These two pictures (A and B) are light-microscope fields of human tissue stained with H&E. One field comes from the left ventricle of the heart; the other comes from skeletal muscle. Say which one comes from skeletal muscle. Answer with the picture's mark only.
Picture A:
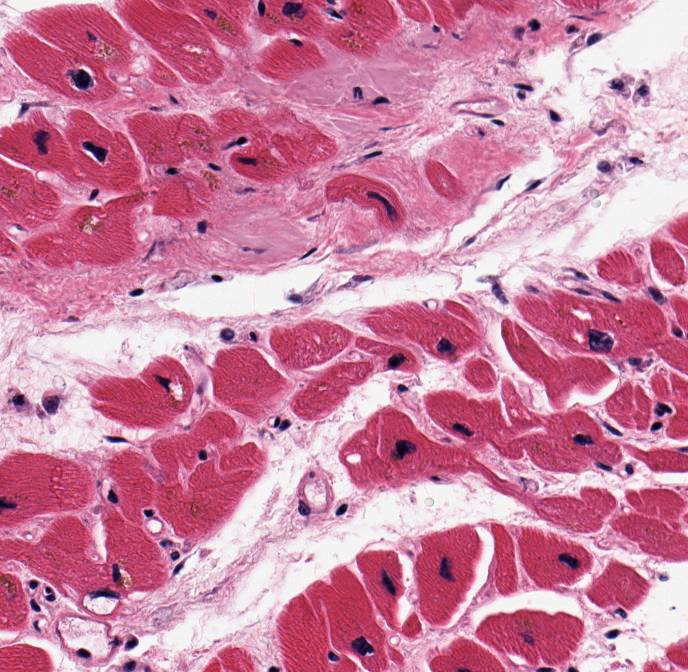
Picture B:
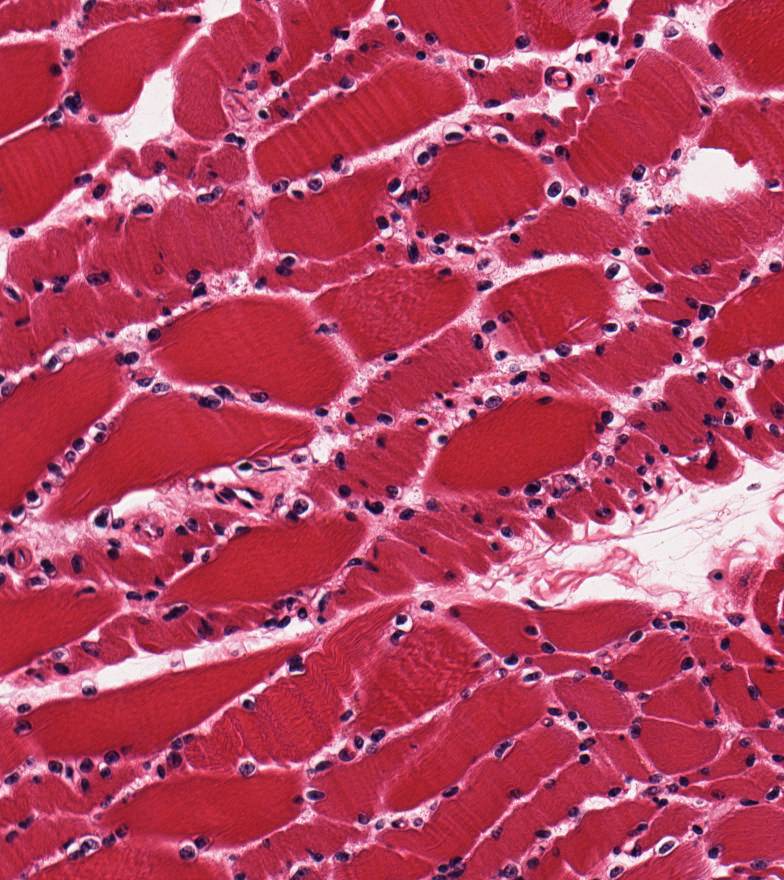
B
